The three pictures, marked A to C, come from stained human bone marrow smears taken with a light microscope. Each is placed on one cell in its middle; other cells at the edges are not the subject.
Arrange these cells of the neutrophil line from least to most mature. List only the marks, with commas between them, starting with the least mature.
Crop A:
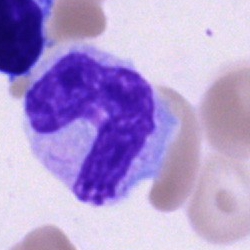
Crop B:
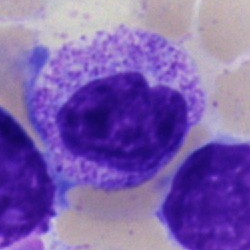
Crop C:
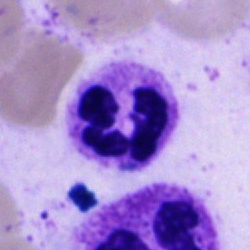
B, A, C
